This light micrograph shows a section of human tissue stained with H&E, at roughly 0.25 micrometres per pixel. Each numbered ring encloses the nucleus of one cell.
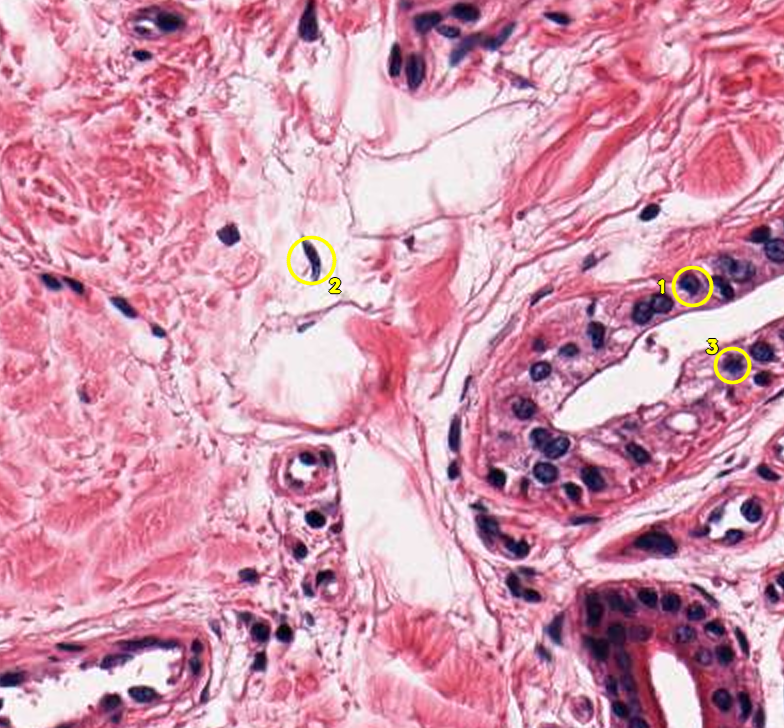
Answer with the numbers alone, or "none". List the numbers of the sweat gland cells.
1, 3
